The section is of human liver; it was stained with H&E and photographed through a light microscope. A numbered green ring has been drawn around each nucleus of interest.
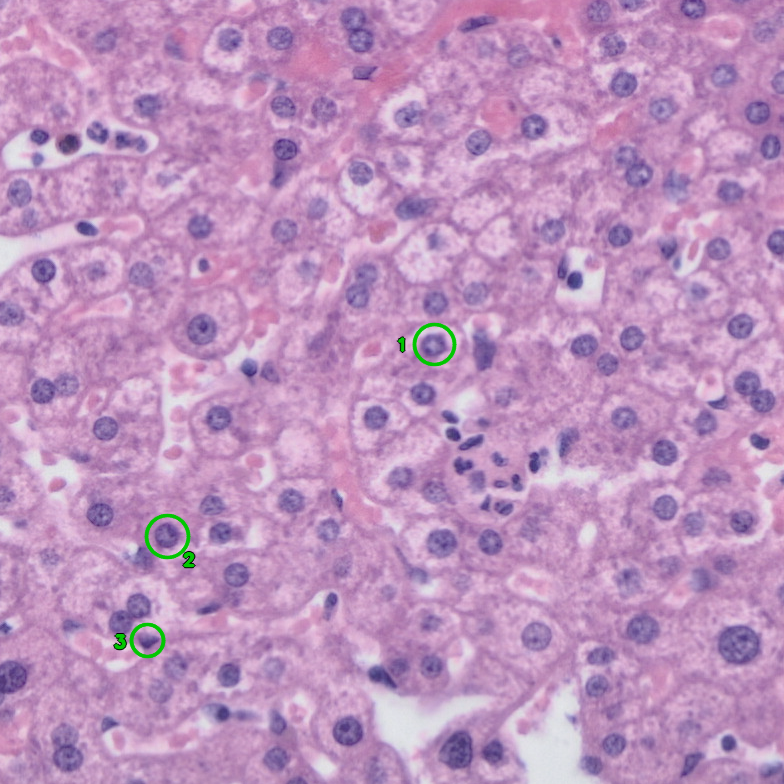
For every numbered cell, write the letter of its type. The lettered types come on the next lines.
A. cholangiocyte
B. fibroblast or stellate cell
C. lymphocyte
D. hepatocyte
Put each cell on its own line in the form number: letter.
1: D
2: D
3: B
